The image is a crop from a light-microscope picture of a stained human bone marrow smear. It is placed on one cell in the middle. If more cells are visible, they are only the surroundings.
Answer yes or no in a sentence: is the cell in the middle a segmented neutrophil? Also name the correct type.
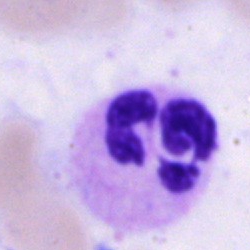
Yes, the cell that is in the middle is a segmented neutrophil.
